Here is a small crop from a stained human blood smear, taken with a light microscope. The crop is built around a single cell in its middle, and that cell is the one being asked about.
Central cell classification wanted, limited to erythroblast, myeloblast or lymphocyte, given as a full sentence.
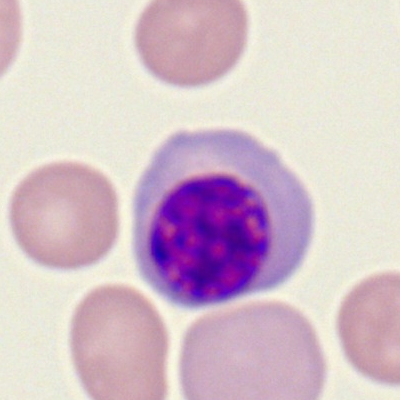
In the central position of this crop, the cell is an erythroblast.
